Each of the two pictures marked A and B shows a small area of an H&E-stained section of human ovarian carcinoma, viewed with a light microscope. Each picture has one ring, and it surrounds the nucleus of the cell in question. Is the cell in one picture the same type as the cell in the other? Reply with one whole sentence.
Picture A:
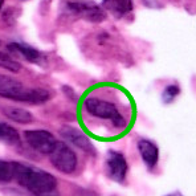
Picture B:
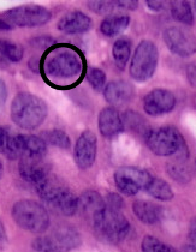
No, picture A shows a “macrophage or monocyte” and picture B shows a carcinoma cell.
